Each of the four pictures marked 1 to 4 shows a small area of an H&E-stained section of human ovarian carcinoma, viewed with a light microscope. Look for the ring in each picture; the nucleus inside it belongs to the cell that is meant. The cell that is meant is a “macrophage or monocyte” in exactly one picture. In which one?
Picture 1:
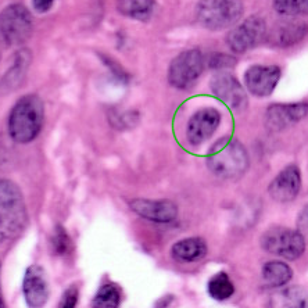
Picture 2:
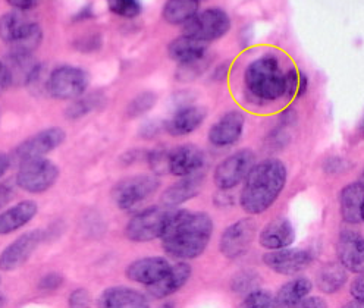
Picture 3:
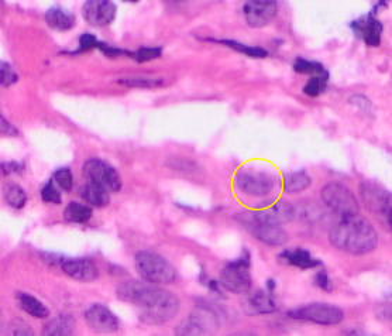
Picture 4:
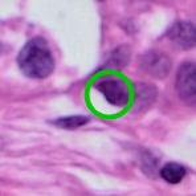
1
